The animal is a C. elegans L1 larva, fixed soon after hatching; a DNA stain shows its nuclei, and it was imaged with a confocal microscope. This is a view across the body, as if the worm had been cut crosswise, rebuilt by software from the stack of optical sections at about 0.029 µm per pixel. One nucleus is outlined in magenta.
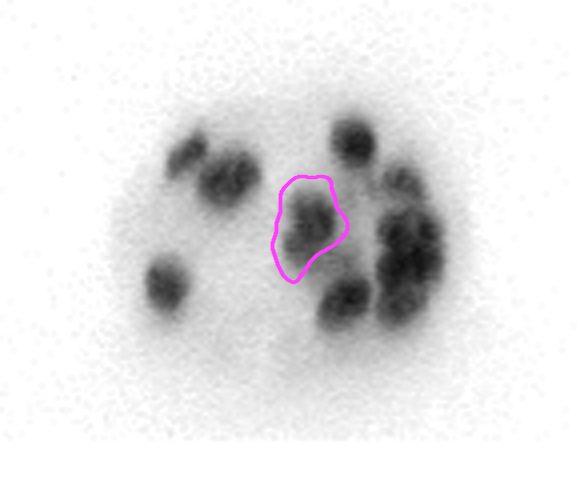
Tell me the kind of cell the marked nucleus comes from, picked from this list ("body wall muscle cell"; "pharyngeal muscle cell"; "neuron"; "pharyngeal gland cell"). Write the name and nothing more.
pharyngeal muscle cell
